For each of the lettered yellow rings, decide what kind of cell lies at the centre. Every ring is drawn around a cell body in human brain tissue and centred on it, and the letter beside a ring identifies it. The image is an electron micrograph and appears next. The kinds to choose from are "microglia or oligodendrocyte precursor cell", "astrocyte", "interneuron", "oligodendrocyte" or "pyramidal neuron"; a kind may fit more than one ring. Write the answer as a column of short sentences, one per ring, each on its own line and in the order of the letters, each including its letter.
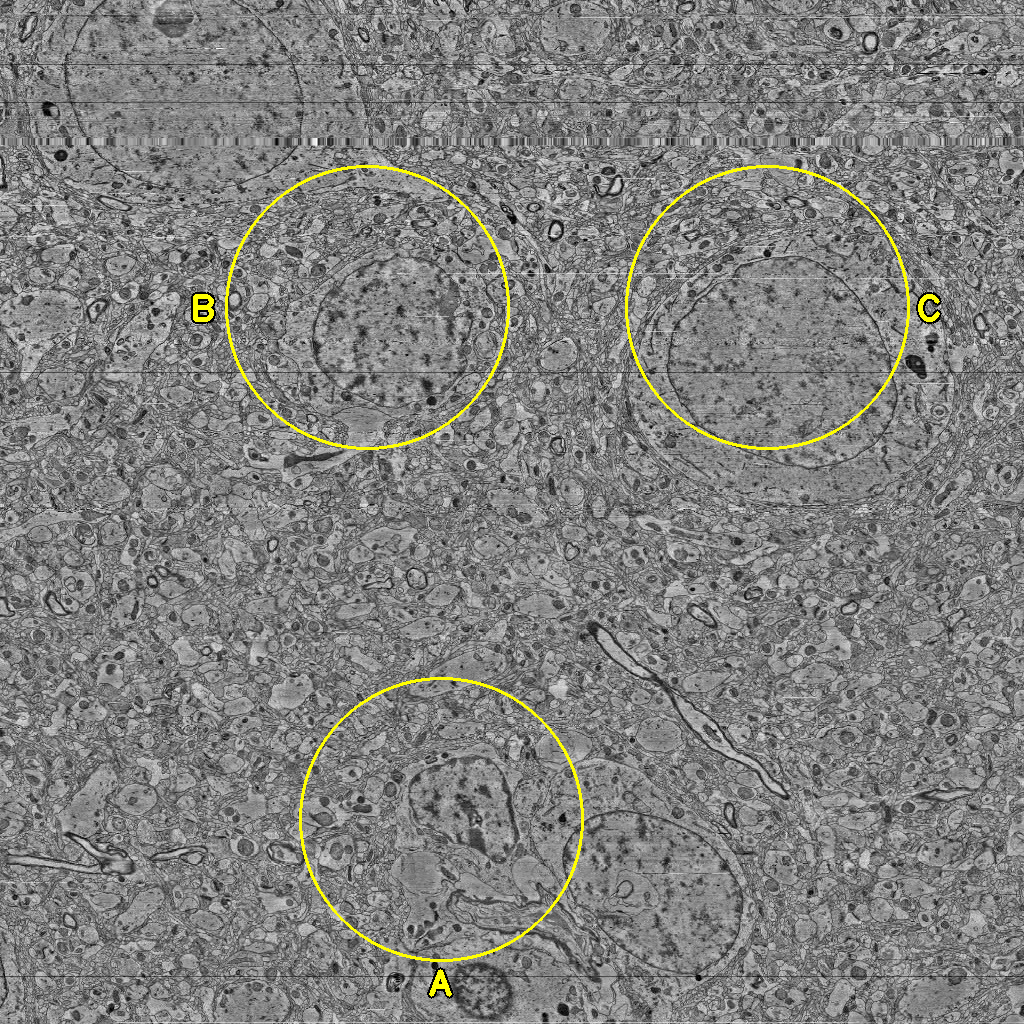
In the centre of ring A lies a microglial cell or oligodendrocyte precursor cell.
In the centre of ring B lies an interneuron.
In the centre of ring C lies a pyramidal neuron.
